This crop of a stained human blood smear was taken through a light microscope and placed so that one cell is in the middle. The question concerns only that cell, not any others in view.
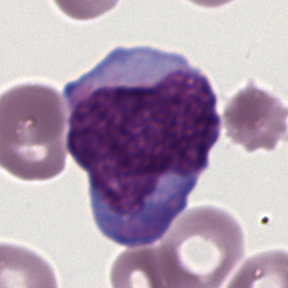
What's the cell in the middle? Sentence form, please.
By classification, the middle cell of this crop is an atypical promyelocyte.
